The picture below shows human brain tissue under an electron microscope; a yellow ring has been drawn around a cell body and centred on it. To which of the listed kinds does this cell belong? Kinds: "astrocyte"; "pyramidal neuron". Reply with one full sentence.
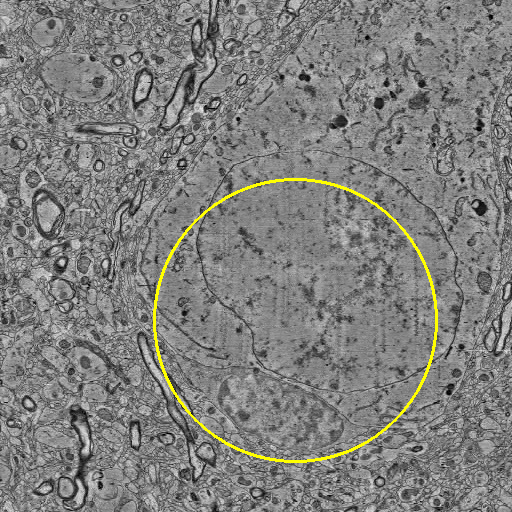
It is a pyramidal neuron that the yellow ring in the picture is centred on.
